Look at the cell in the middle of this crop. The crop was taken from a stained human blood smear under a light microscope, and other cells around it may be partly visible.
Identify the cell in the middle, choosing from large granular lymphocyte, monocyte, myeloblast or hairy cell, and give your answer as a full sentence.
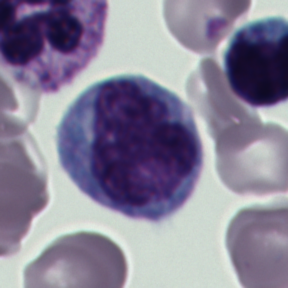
The middle position in this crop is taken by a monocyte.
